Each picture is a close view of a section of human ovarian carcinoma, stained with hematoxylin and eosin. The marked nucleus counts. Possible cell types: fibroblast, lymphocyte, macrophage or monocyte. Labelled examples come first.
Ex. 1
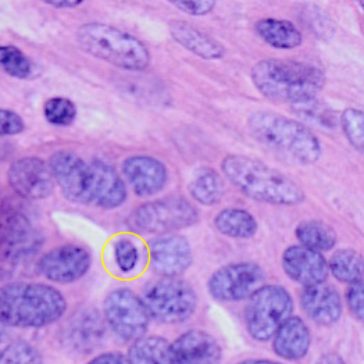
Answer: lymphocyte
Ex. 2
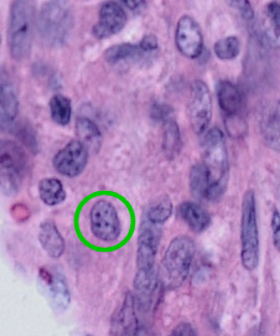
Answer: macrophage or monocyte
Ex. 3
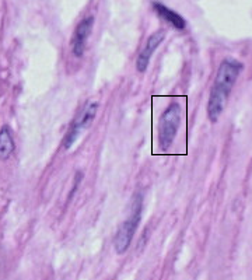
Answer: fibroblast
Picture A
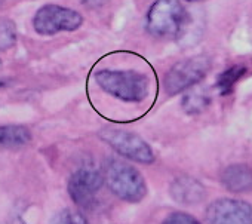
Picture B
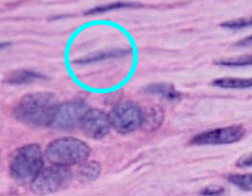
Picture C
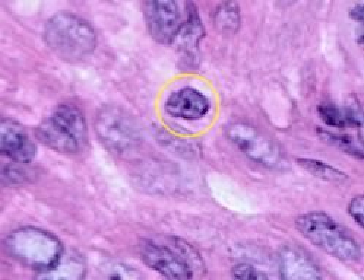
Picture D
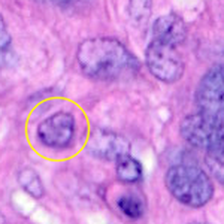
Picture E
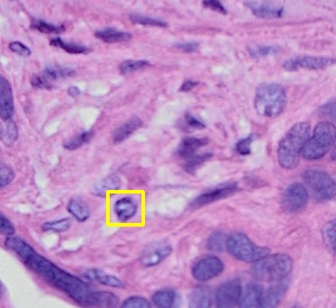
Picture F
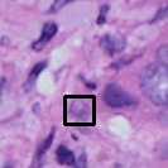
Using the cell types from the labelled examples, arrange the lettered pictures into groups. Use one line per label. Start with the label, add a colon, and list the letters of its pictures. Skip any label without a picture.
fibroblast: B, F
lymphocyte: C
macrophage or monocyte: A, D, E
